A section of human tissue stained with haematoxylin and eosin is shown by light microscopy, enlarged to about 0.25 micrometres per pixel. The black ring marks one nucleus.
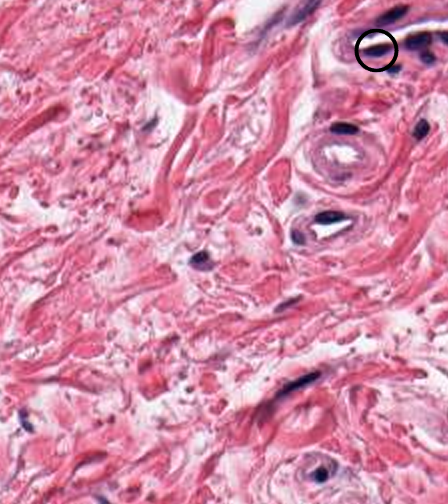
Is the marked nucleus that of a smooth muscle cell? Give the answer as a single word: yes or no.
no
